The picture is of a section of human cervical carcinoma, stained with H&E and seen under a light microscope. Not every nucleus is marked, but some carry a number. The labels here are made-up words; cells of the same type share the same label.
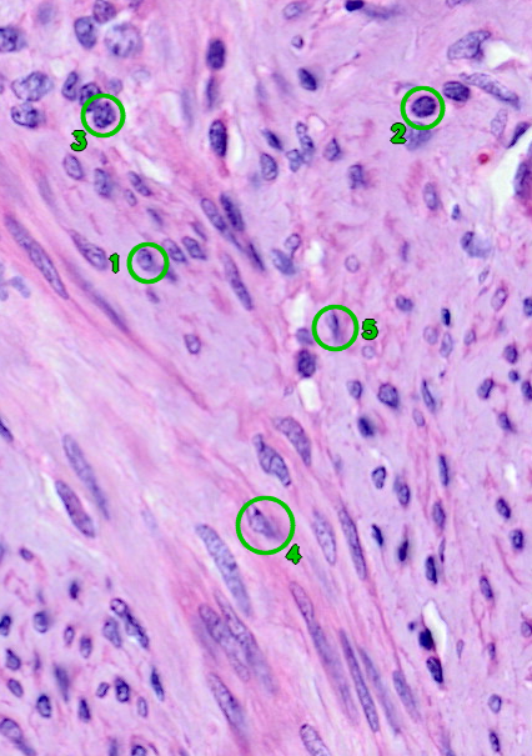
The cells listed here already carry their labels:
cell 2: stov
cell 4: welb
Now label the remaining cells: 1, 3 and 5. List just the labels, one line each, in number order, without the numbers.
welb
stov
welb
